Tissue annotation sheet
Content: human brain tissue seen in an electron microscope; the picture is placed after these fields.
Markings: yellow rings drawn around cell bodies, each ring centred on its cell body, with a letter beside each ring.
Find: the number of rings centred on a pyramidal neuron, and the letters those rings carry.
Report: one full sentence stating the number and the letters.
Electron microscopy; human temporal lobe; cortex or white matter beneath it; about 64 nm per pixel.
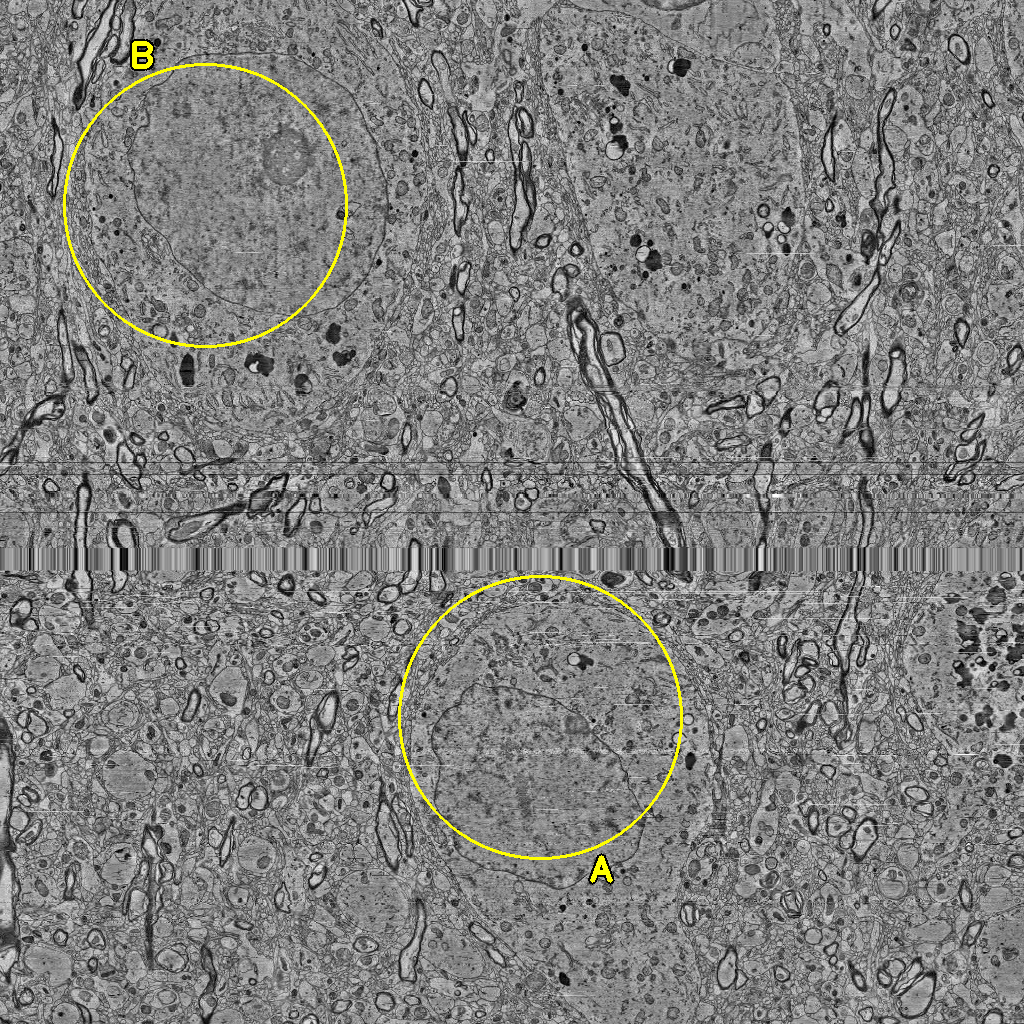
The rings carrying the letters A and B are two in total, each with a pyramidal neuron at its centre.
